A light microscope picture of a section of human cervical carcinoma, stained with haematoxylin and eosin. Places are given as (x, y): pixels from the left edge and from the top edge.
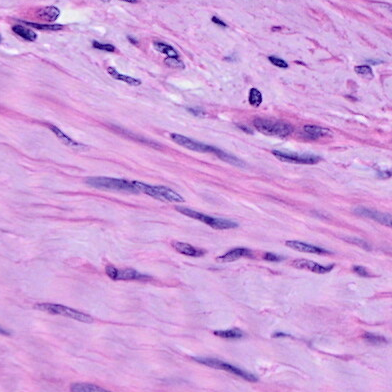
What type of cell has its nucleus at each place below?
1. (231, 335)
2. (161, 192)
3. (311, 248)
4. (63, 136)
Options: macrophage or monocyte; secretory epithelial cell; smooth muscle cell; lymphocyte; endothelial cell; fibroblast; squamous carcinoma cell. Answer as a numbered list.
1. fibroblast
2. smooth muscle cell
3. smooth muscle cell
4. smooth muscle cell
